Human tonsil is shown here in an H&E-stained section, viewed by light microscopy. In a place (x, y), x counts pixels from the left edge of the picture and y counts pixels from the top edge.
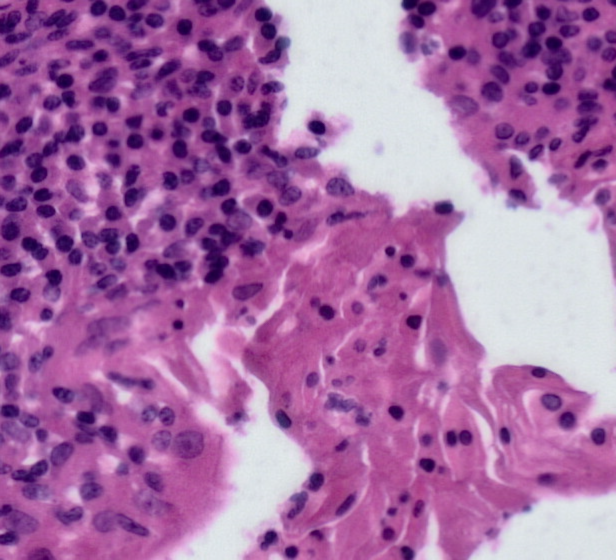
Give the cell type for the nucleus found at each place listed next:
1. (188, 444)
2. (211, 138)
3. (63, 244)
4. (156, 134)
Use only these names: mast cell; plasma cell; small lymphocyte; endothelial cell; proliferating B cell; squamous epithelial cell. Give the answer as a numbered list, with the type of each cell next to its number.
1. squamous epithelial cell
2. plasma cell
3. plasma cell
4. plasma cell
